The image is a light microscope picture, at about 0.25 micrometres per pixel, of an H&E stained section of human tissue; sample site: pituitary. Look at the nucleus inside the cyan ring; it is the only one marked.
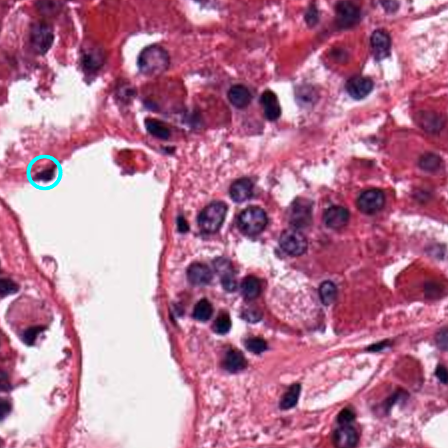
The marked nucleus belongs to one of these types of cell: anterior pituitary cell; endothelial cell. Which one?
endothelial cell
